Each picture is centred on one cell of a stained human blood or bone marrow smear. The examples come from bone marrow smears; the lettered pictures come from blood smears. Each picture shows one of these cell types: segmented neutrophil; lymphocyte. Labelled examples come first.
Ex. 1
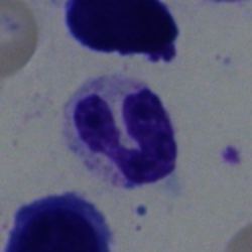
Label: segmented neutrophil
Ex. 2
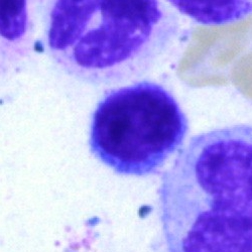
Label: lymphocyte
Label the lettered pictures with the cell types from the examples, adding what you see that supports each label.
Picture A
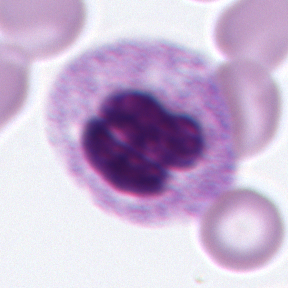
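segmented neutrophil. Reason: The cytoplasm is plentiful and pale pinkish-lilac.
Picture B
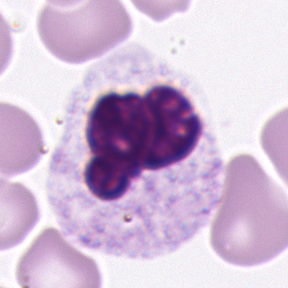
segmented neutrophil. Reason: The cytoplasm is abundant and pale greyish-lilac.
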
